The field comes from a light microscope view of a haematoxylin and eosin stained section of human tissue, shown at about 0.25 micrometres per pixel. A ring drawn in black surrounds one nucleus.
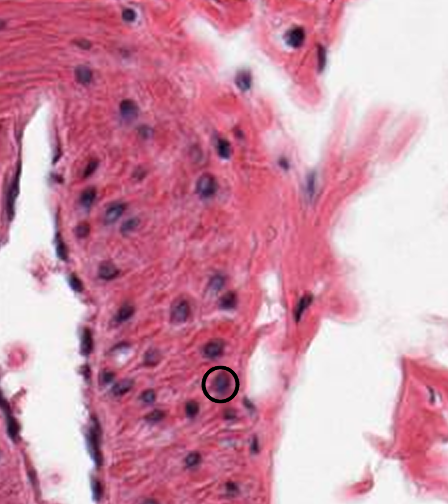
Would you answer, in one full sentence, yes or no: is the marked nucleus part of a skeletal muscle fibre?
No, the marked nucleus should not be attributed to a skeletal muscle fibre.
